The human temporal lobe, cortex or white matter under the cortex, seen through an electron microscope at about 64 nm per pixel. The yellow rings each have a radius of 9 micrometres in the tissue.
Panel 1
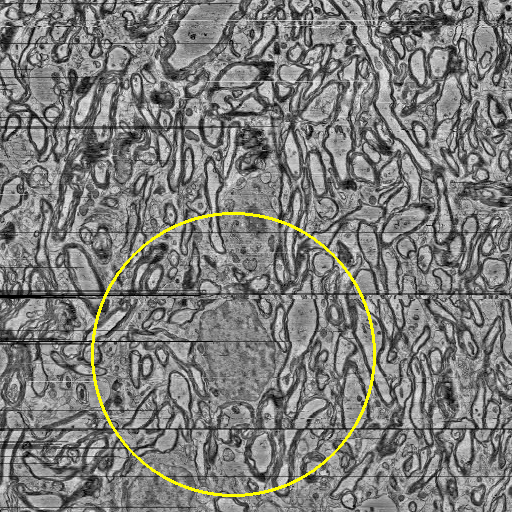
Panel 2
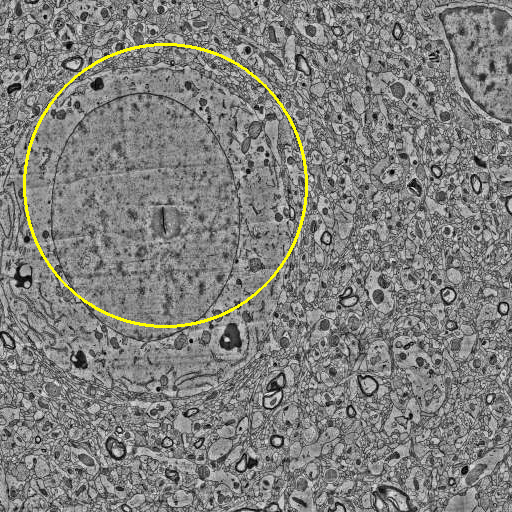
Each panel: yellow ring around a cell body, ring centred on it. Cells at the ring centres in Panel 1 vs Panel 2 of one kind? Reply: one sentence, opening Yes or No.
No, Panel 1 and Panel 2 have cells of two kinds at the ring centres.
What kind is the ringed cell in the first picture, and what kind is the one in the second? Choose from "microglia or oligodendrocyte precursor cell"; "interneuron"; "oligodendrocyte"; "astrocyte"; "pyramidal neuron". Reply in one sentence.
The first cell is an oligodendrocyte; the second is a pyramidal neuron.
